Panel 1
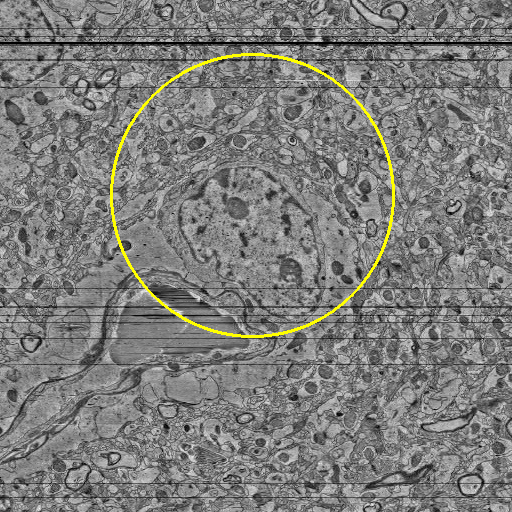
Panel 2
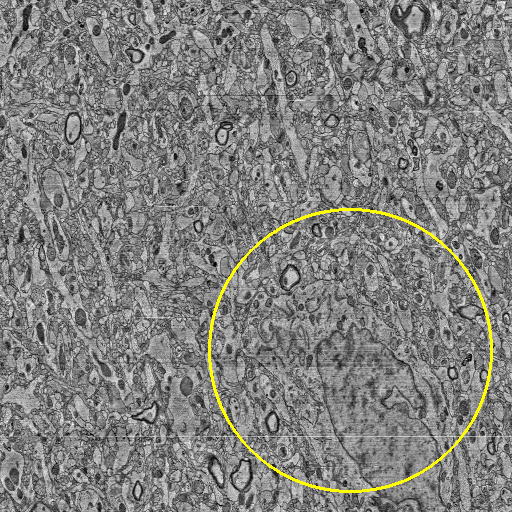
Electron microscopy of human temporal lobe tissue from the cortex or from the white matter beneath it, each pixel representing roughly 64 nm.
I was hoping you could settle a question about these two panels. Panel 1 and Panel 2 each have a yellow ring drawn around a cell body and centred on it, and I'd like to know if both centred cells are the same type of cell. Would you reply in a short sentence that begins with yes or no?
No, they are two types of cell.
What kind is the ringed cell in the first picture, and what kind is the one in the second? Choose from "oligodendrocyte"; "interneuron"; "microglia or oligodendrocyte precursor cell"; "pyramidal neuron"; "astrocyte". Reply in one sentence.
The first cell is a microglial cell or oligodendrocyte precursor cell; the second is an interneuron.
